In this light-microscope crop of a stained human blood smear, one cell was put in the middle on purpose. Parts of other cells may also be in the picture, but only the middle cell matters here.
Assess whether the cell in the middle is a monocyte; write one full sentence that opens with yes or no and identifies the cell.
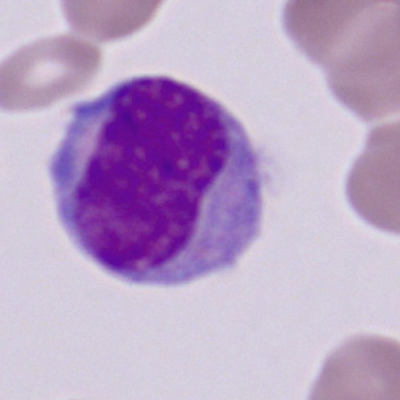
Yes, the cell that the crop is centered on is a monocyte.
